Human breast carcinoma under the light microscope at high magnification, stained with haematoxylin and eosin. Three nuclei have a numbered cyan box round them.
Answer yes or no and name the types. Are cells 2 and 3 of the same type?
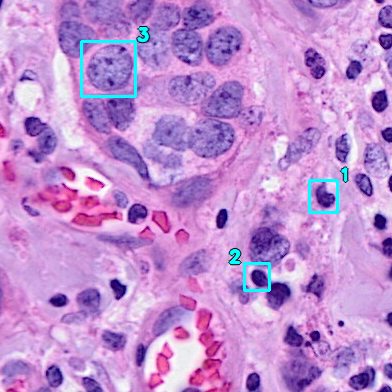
No, cell 2 is a lymphocyte whereas cell 3 is a carcinoma cell.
